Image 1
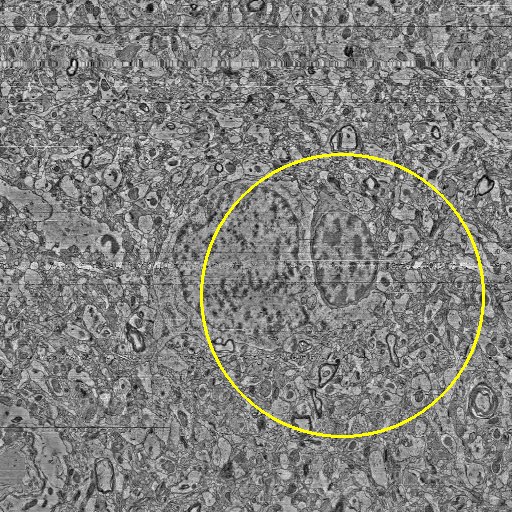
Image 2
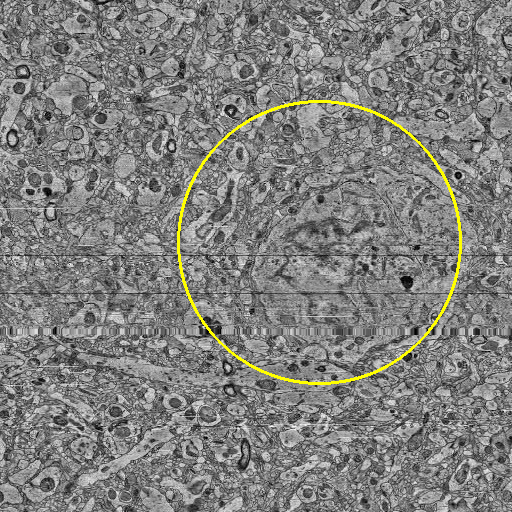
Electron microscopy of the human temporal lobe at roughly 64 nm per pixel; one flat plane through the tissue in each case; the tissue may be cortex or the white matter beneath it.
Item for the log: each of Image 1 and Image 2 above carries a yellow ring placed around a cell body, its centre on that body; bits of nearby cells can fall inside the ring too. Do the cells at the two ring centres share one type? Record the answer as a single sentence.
No, the two cells at the ring centres in Image 1 and Image 2 are of two types.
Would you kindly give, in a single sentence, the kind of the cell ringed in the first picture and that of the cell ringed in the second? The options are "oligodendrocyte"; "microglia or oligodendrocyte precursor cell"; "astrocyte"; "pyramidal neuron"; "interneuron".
The second cell is an interneuron, and the first cell is an oligodendrocyte.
